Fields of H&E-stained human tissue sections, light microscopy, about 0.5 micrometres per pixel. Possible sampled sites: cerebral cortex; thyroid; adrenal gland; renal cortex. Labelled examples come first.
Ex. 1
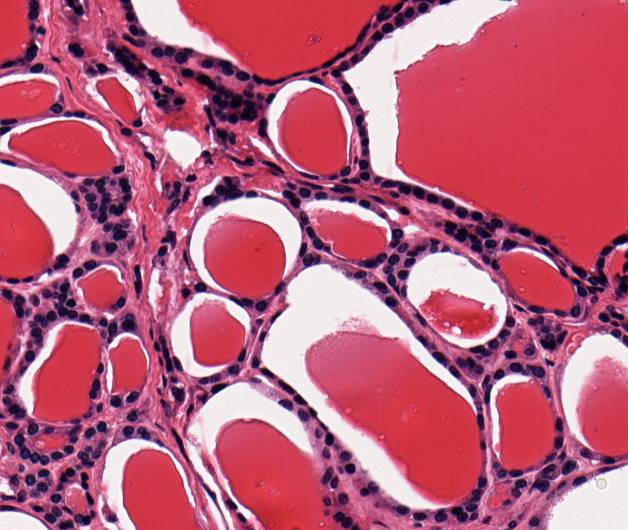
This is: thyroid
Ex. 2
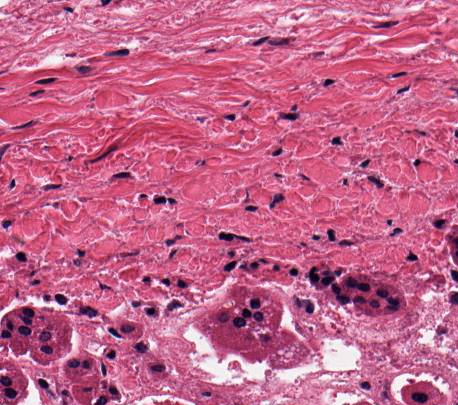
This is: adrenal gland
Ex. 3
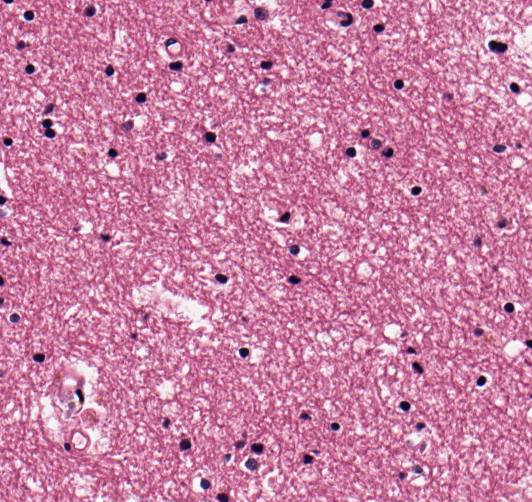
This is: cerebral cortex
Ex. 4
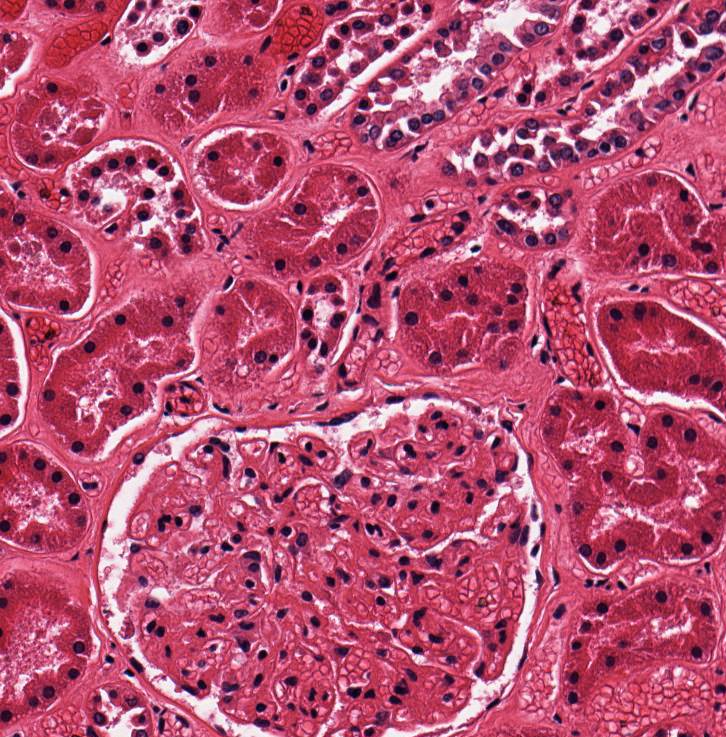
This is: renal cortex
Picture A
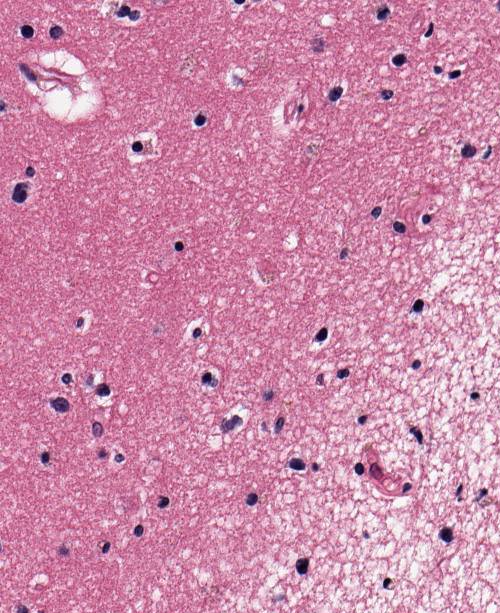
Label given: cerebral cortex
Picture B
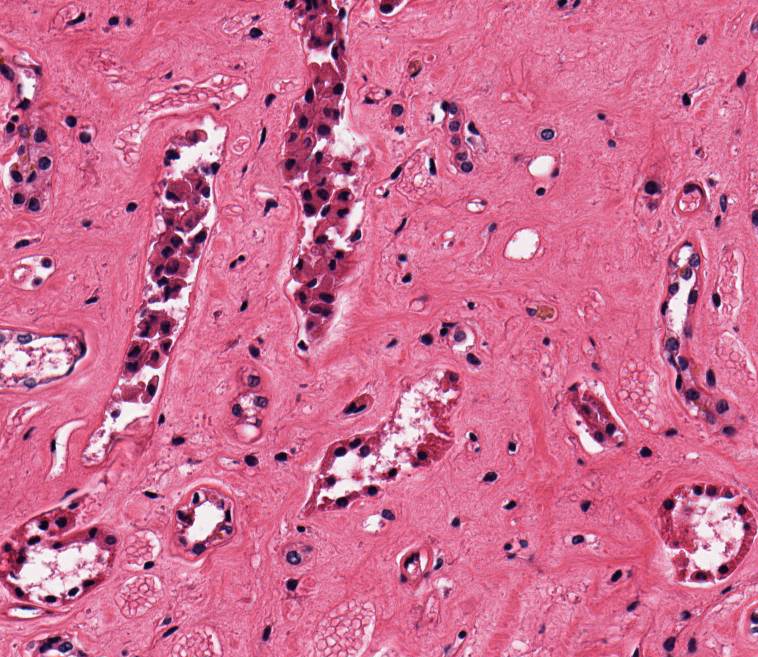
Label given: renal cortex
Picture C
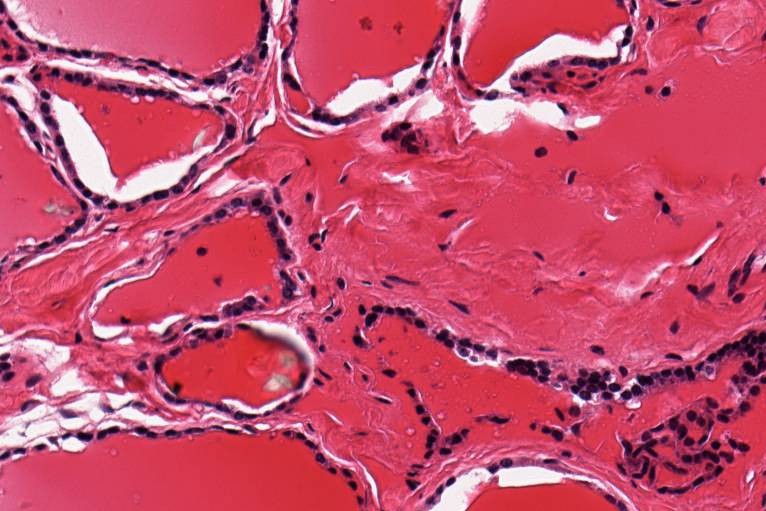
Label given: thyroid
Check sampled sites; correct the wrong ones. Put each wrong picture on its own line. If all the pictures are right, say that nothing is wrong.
All correct.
